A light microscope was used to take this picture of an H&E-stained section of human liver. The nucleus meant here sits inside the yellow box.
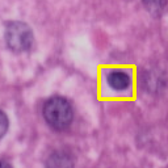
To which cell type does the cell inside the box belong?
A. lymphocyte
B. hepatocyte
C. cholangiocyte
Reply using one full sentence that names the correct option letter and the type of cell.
In this item, the cell inside the box is a lymphocyte, and option A is right.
